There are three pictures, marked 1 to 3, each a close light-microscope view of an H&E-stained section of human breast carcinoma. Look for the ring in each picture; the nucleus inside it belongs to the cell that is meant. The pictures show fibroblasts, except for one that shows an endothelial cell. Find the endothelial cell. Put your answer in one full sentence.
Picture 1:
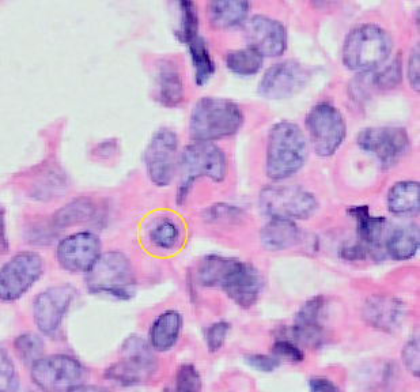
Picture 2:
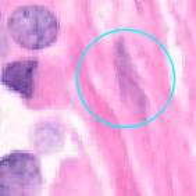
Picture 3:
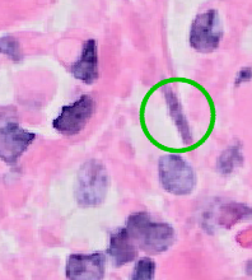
It is picture 1 that shows the endothelial cell.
